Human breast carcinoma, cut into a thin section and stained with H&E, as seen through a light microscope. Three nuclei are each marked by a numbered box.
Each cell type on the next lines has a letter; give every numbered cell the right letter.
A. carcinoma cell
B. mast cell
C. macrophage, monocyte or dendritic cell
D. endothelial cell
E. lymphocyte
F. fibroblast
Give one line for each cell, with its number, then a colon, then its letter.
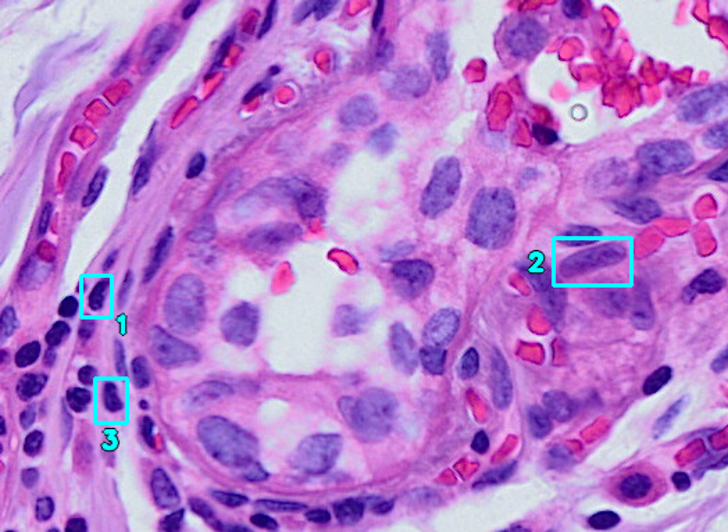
1: E
2: D
3: E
